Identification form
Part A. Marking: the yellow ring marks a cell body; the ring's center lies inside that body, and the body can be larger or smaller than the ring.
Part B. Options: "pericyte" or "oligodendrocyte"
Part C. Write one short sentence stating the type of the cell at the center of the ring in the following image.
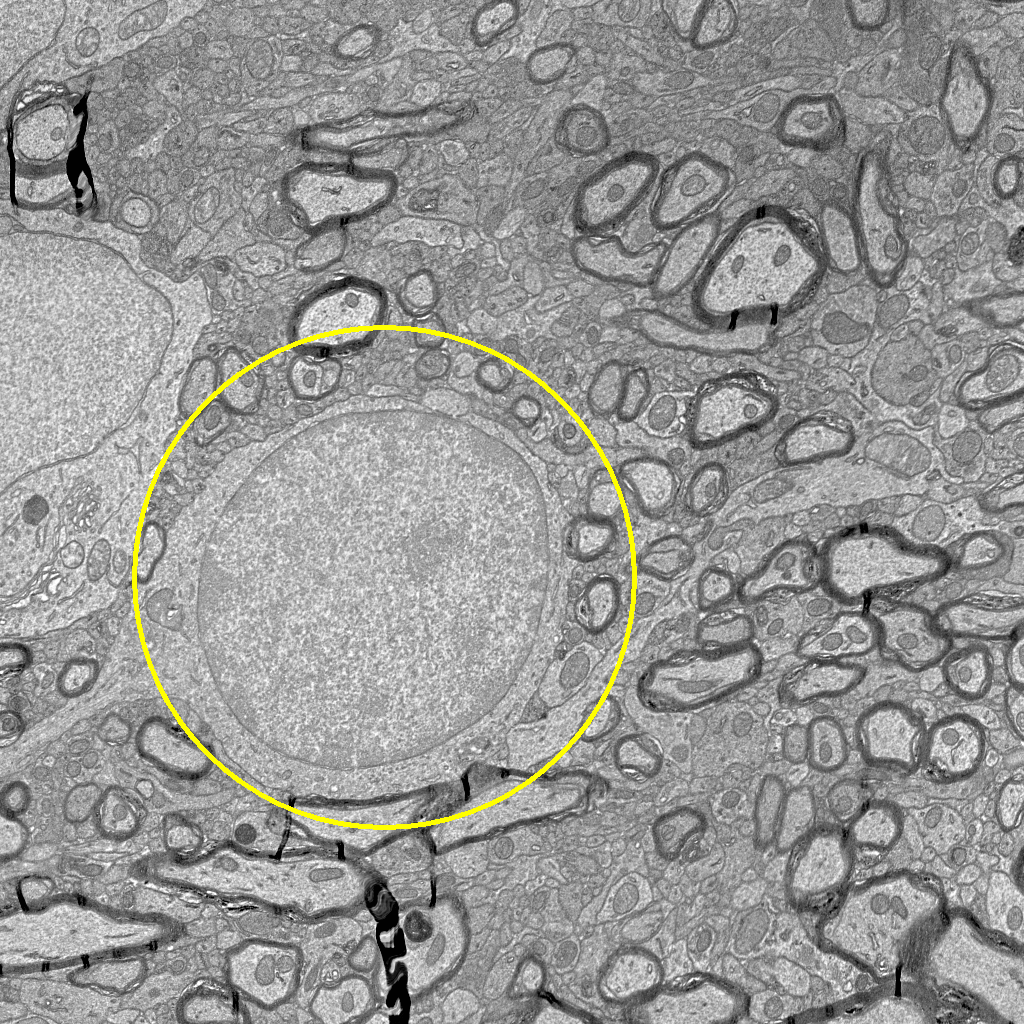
The center of the ring holds an oligodendrocyte.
